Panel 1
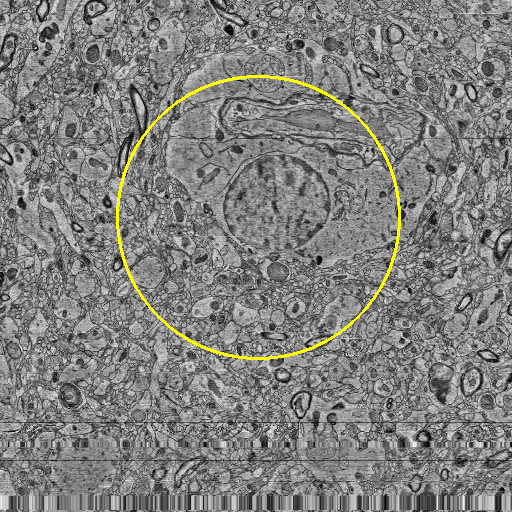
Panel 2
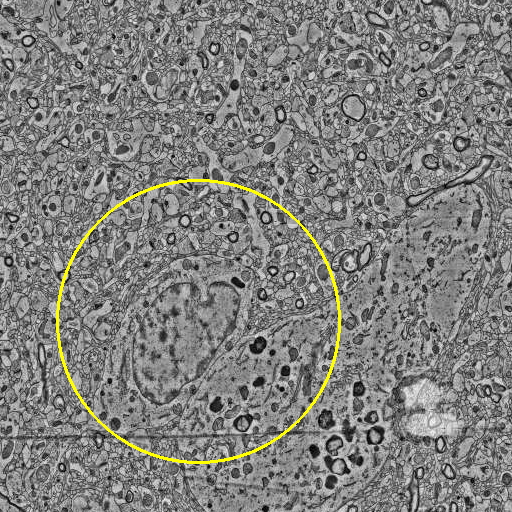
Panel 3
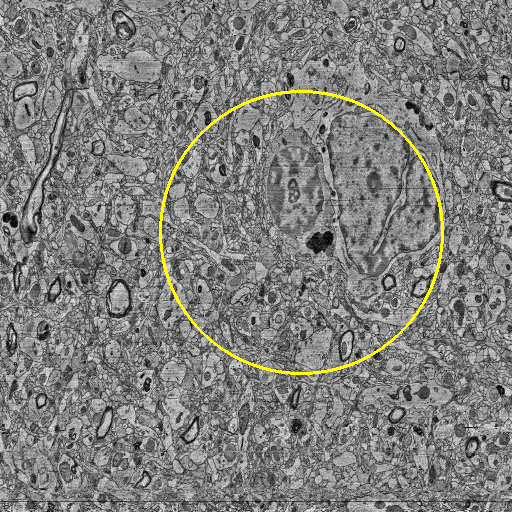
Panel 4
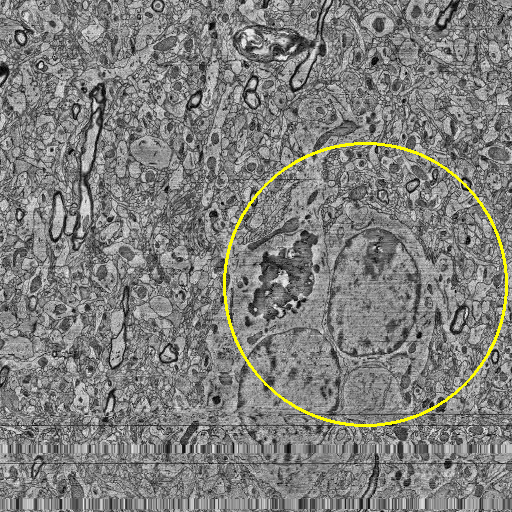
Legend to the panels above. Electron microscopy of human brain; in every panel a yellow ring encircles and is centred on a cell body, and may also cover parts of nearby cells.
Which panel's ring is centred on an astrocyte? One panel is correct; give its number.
4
